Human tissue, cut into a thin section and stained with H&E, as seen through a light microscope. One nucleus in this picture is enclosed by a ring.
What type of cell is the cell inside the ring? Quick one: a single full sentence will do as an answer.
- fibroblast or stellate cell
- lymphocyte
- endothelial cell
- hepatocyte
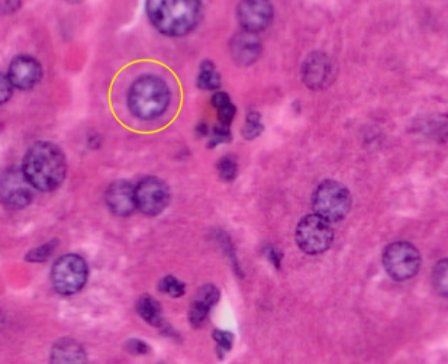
Speaking plainly, the cell inside the ring is nothing other than a hepatocyte.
